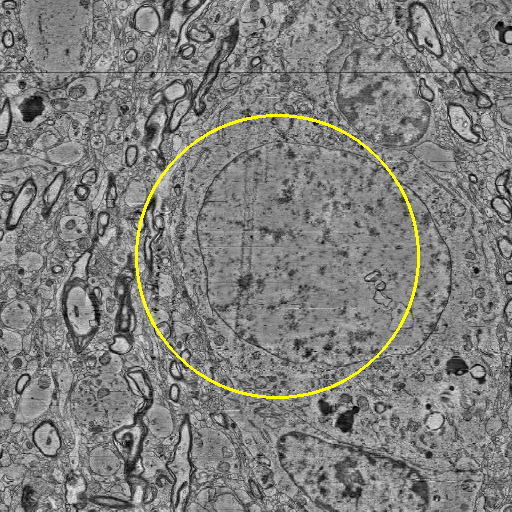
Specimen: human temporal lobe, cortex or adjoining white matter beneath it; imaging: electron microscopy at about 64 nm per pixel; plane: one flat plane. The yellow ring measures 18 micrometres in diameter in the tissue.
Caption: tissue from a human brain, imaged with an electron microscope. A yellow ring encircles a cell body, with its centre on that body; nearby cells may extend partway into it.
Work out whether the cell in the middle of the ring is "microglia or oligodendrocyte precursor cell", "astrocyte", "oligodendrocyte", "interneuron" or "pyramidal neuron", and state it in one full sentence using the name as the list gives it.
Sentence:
In the picture, the cell that the yellow ring surrounds at its centre is a pyramidal neuron.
